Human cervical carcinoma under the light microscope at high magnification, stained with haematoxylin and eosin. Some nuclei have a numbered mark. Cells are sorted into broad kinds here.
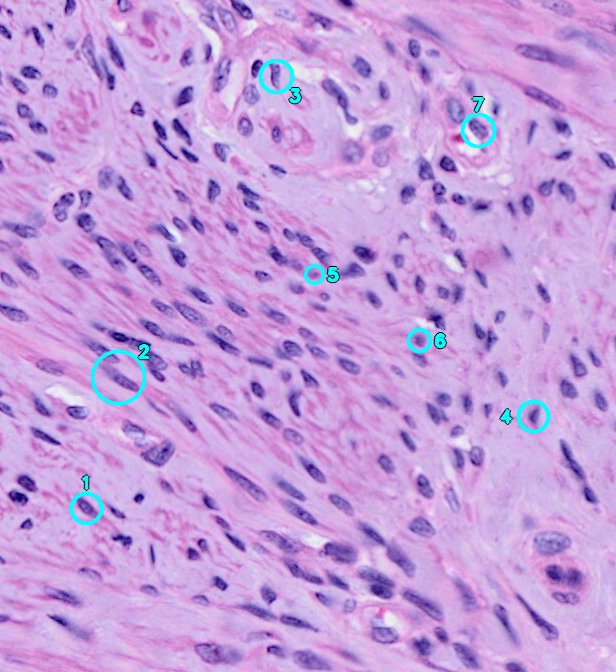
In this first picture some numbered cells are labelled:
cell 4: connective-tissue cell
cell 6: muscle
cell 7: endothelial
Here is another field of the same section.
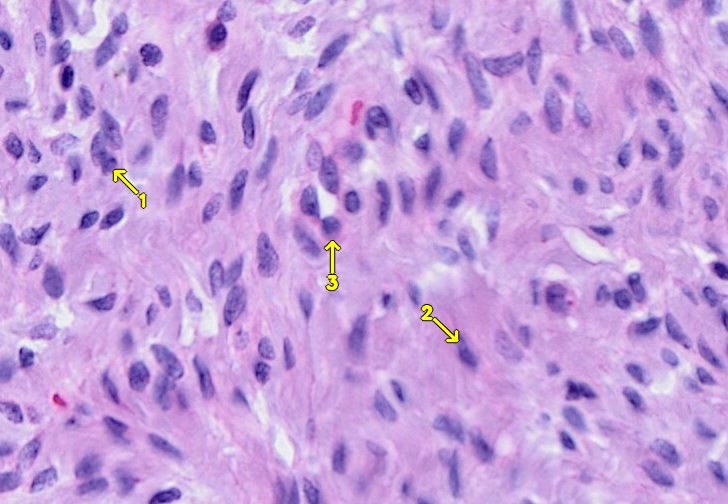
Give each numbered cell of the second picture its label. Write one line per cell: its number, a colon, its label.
1: connective-tissue cell
2: connective-tissue cell
3: endothelial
